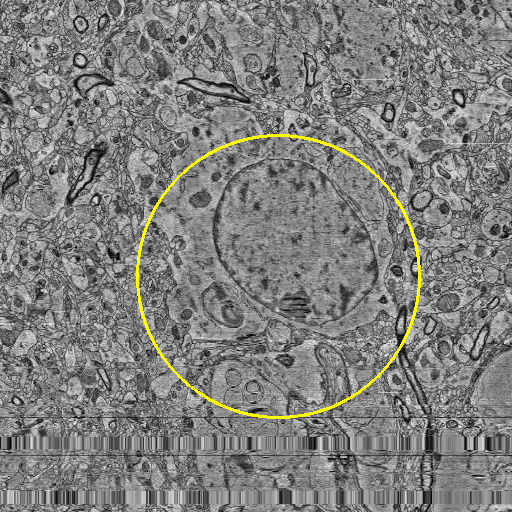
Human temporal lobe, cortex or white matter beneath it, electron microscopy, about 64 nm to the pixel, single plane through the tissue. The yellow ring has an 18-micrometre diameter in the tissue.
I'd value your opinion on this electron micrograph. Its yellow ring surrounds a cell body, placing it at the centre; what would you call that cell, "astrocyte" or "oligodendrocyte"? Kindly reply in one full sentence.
It is an astrocyte that sits centred within the yellow ring in this micrograph.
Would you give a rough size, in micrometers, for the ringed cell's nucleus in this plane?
In this plane the nucleus spans approximately 12 by 9 micrometers.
